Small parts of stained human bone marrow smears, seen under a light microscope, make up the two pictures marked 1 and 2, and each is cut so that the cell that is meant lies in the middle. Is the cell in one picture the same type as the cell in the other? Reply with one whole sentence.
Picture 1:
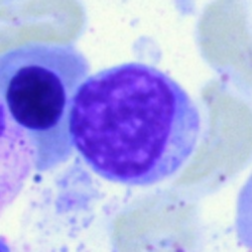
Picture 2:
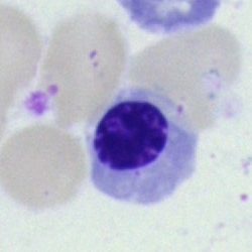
No. Picture 1 shows a lymphocyte, but picture 2 shows an erythroblast.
